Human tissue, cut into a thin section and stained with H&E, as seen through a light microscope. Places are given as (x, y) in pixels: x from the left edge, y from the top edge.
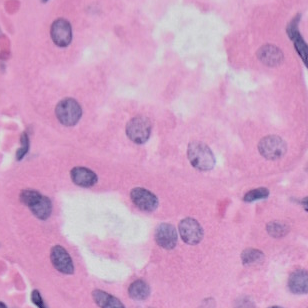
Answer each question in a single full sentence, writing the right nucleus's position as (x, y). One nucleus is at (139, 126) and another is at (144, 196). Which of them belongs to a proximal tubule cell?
The nucleus of a proximal tubule cell lies at (139, 126), not at the other position.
